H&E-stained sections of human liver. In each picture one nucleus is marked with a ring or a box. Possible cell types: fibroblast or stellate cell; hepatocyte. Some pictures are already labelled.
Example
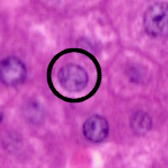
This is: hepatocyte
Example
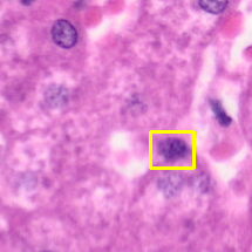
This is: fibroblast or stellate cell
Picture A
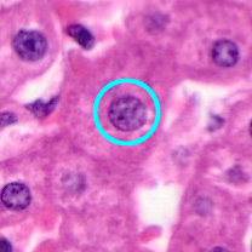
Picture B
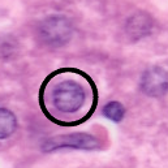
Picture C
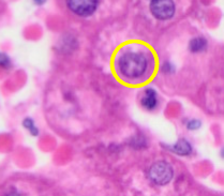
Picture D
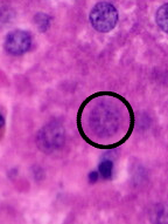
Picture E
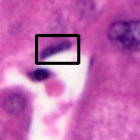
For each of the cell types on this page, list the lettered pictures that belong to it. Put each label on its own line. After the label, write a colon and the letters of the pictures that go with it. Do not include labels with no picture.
fibroblast or stellate cell: E
hepatocyte: A, B, C, D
